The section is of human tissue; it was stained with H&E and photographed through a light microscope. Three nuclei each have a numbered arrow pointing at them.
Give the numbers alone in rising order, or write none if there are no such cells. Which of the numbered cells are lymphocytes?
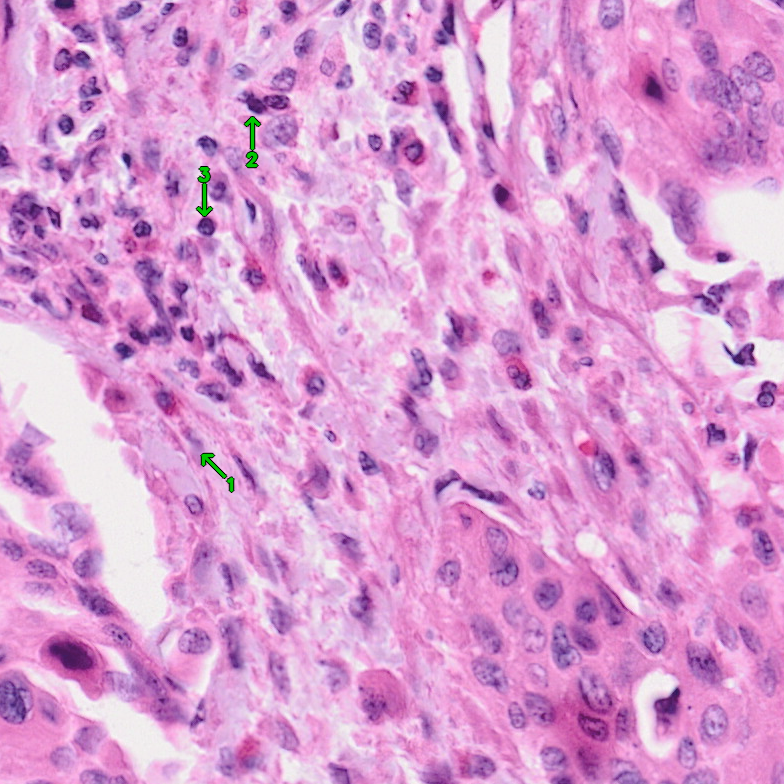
2, 3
